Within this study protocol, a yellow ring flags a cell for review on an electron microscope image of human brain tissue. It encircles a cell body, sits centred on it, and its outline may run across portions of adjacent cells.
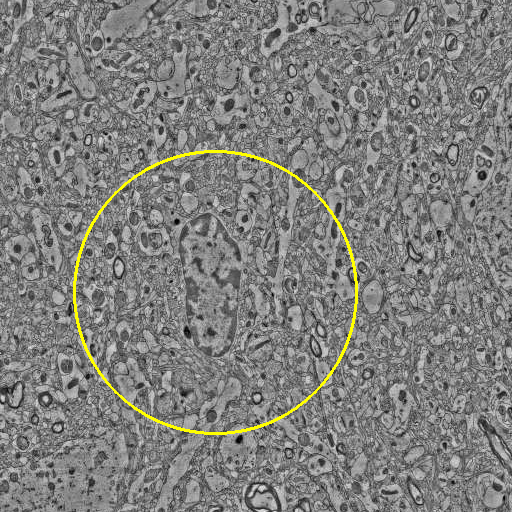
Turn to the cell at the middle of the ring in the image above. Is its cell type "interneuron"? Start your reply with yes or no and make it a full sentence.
No, the cell at the ring's centre in the image above has another cell type.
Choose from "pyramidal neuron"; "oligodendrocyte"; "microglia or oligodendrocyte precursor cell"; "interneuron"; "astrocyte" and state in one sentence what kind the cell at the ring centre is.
So the cell at the centre is a microglial cell or oligodendrocyte precursor cell.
